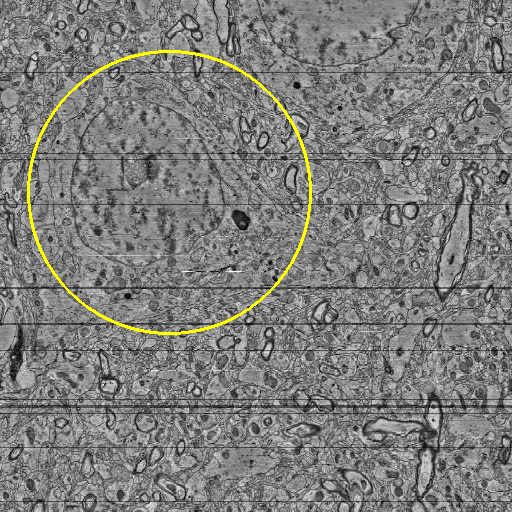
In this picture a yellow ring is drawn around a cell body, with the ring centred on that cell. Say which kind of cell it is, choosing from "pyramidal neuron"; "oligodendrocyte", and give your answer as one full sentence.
Here it is a pyramidal neuron that sits at the centre of the drawn yellow ring.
